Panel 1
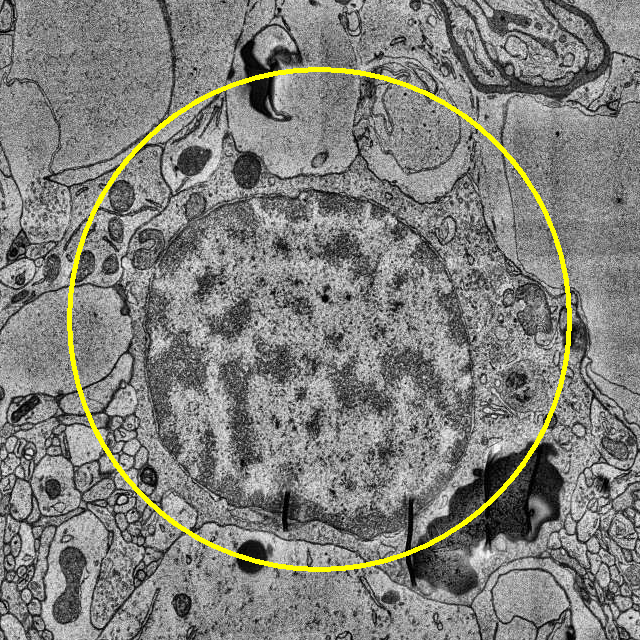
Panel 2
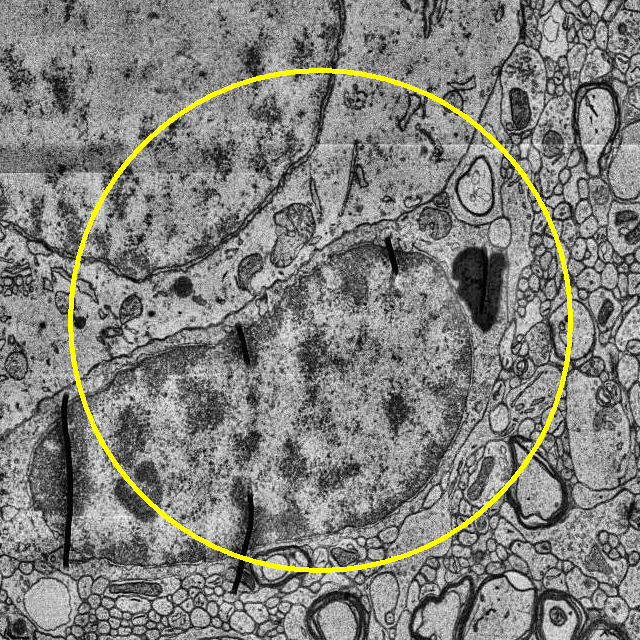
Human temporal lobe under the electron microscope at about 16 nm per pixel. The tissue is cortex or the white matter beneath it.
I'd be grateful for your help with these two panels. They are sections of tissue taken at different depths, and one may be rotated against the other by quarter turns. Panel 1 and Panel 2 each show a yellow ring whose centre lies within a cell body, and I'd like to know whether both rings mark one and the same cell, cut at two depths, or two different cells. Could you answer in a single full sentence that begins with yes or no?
No, the two marked cells are different cells.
